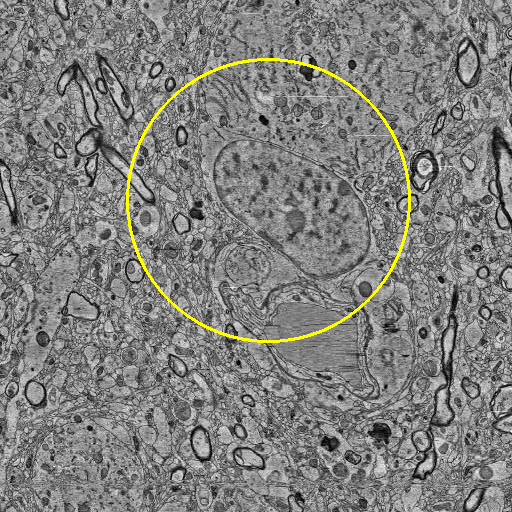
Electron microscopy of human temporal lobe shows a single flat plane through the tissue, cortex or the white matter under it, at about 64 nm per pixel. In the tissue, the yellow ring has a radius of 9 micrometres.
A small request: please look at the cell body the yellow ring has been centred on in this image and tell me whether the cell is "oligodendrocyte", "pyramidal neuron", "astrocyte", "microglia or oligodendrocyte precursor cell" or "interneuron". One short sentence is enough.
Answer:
The cell marked by the ring is a microglial cell or oligodendrocyte precursor cell.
